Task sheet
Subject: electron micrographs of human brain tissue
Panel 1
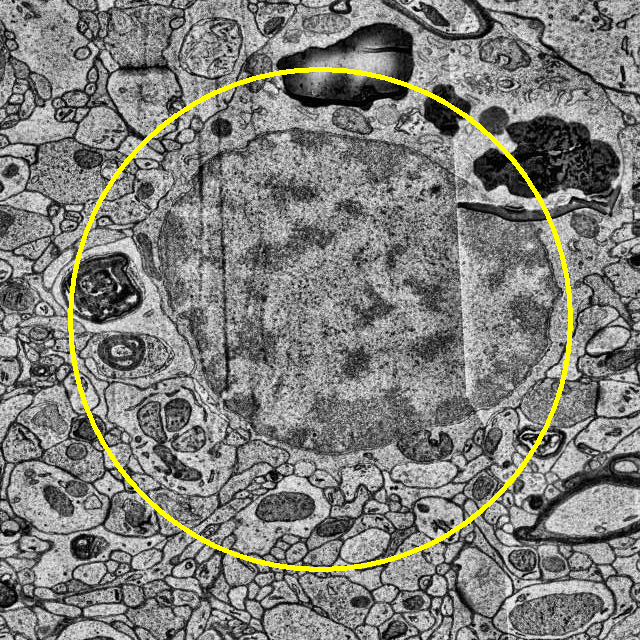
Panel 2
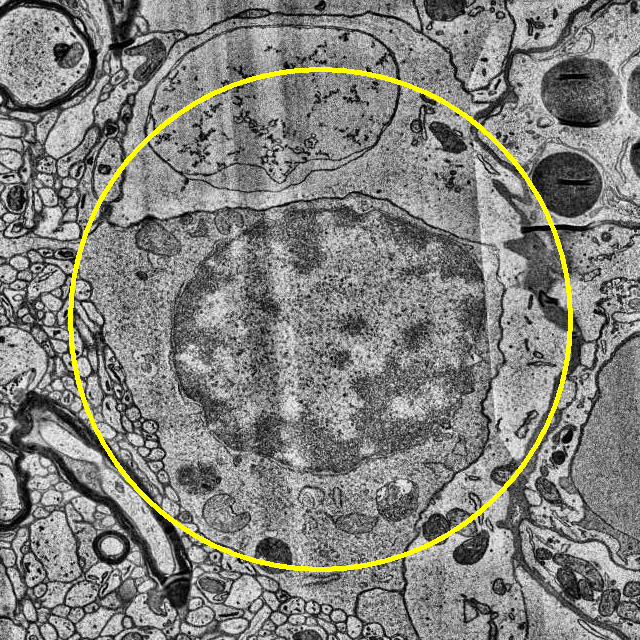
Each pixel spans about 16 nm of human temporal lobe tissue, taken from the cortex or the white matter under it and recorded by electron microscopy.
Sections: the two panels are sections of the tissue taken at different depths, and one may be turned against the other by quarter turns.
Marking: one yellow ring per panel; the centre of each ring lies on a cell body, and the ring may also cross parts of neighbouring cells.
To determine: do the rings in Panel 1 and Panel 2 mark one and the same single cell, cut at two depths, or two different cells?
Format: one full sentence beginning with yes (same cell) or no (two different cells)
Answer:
No, it is two different cells that the rings mark.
